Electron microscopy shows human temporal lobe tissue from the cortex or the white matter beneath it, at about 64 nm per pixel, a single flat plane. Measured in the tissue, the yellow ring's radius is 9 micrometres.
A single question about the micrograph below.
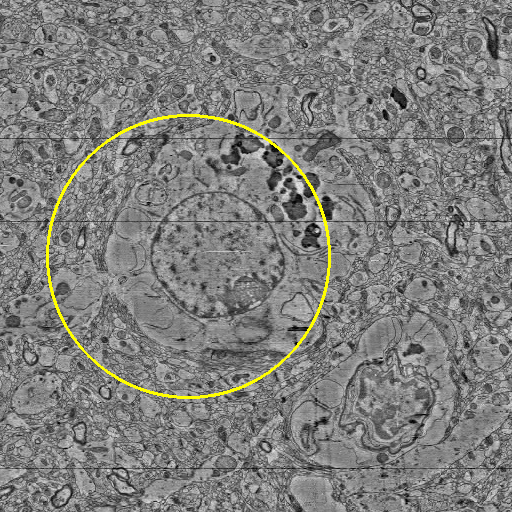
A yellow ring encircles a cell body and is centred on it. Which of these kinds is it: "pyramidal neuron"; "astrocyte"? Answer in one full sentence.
The cell body at the centre of the yellow ring belongs to an astrocyte.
